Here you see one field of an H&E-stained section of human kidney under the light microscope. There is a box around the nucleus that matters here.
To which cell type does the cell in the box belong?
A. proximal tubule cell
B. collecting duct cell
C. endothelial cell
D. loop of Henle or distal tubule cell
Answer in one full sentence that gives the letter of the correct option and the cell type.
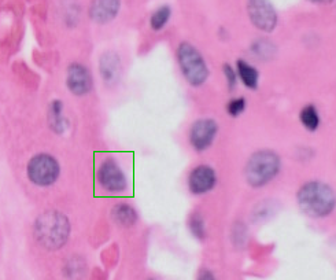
The right pick is option D; the cell in the box is a loop of Henle or distal tubule cell.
